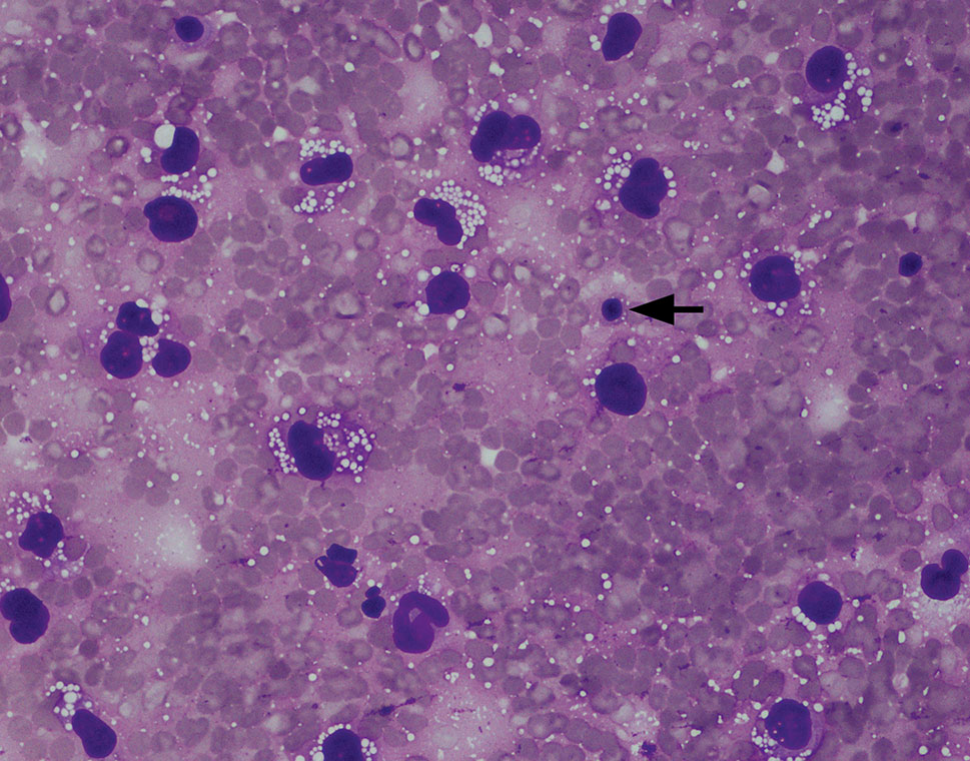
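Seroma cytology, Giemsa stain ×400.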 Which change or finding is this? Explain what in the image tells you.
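Many small round clear vacuoles cluster in the cytoplasm around the large nuclei.
Answer: abundant finely vacuolated cytoplasm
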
